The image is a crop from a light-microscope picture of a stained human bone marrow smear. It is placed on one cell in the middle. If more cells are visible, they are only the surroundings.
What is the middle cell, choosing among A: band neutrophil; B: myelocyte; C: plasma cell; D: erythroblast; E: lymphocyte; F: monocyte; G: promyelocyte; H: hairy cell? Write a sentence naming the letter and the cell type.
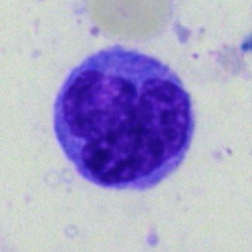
Given that the cell in the middle is a monocyte, option F is correct.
